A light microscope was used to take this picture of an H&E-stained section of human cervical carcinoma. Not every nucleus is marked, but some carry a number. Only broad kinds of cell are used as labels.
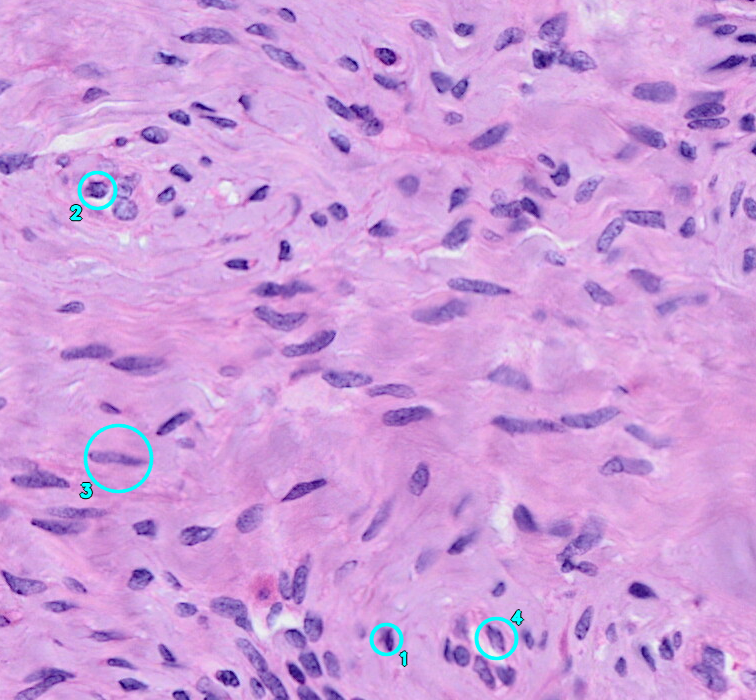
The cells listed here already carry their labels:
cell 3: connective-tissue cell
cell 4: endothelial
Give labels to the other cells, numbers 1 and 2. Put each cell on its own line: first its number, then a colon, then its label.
1: connective-tissue cell
2: endothelial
